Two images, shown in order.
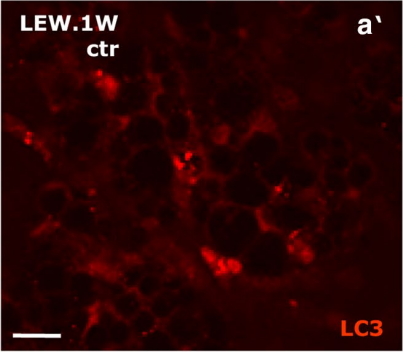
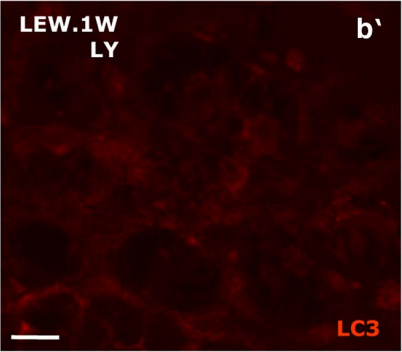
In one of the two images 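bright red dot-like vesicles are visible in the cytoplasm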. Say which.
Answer: the first image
